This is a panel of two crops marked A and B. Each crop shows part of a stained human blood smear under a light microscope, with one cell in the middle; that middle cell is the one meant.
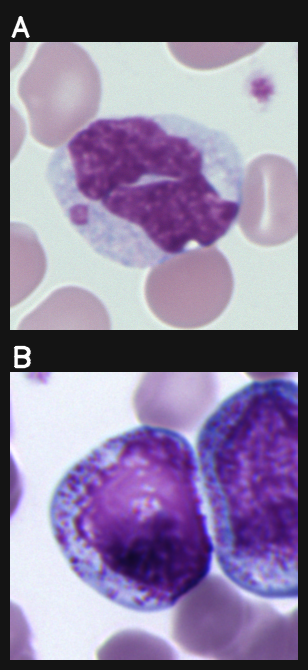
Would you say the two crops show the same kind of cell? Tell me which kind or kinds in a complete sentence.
No, crop A shows a monocyte, and the cell in crop B is a myelocyte.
